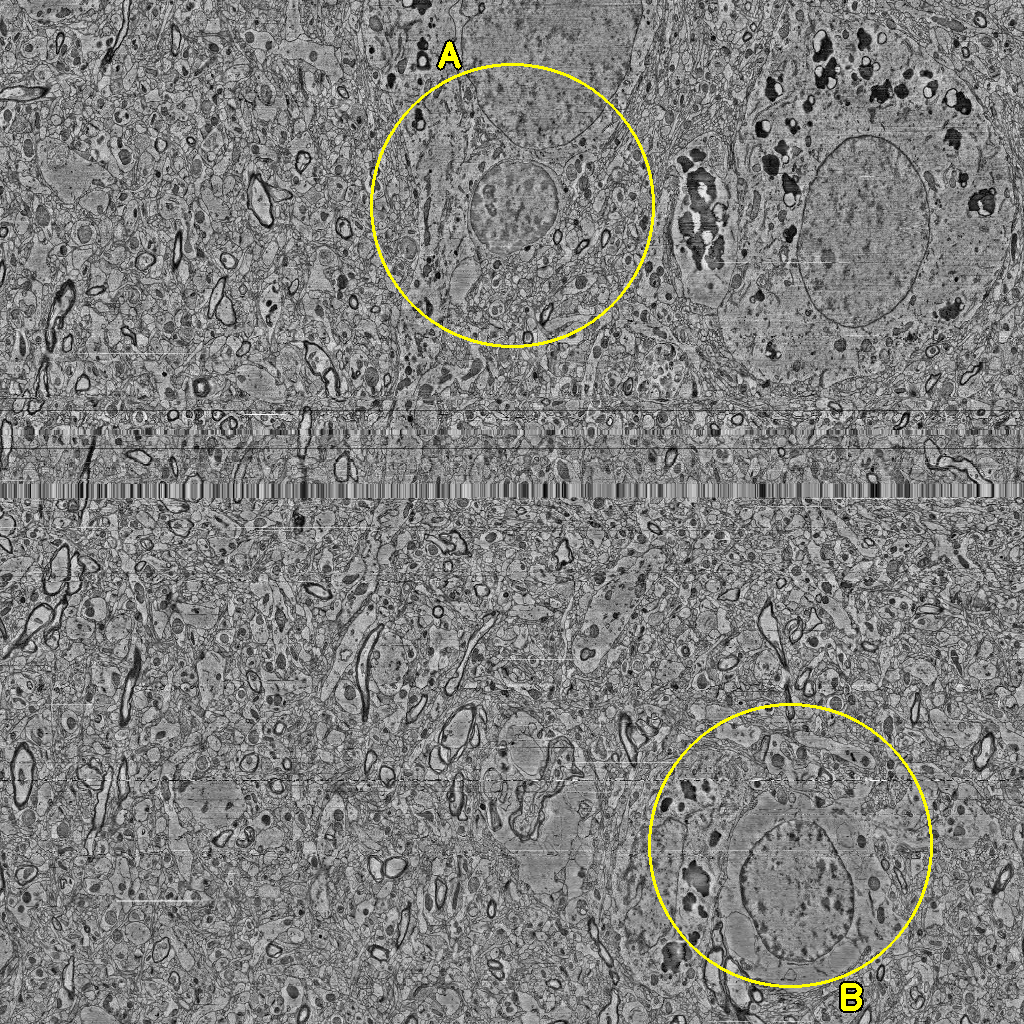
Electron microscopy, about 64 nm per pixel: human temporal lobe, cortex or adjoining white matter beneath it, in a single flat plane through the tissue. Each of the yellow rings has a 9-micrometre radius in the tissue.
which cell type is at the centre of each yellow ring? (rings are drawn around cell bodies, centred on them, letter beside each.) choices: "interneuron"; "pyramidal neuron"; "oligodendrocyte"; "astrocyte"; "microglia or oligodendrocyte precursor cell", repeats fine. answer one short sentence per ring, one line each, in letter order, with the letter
Ring A is an oligodendrocyte.
Ring B is an astrocyte.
